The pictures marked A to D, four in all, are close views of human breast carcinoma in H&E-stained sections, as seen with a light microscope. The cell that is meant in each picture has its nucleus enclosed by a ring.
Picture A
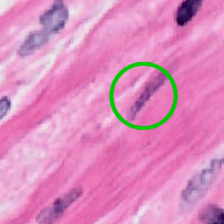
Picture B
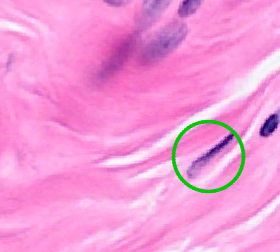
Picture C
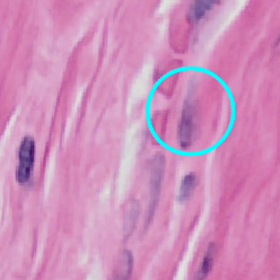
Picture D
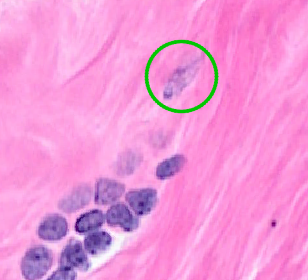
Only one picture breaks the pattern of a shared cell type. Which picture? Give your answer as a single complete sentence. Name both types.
The others show fibroblasts, but picture C shows an endothelial cell.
